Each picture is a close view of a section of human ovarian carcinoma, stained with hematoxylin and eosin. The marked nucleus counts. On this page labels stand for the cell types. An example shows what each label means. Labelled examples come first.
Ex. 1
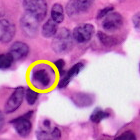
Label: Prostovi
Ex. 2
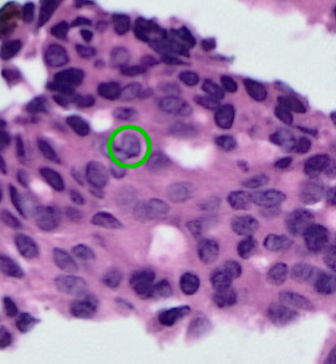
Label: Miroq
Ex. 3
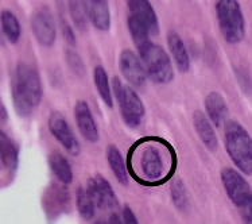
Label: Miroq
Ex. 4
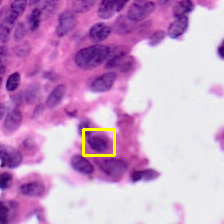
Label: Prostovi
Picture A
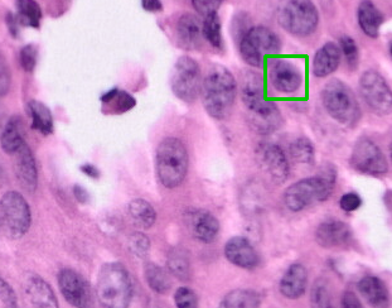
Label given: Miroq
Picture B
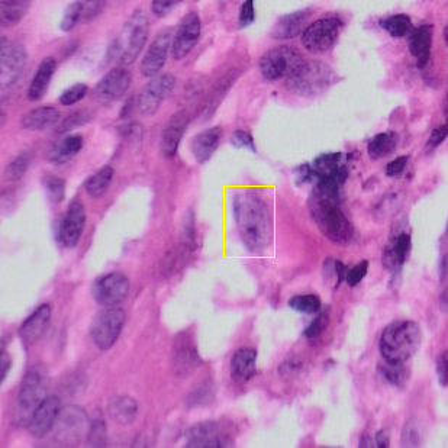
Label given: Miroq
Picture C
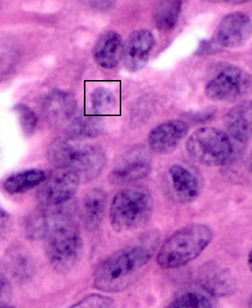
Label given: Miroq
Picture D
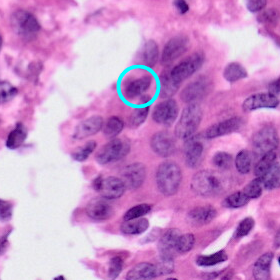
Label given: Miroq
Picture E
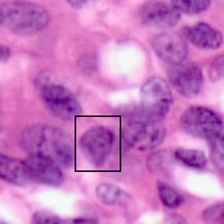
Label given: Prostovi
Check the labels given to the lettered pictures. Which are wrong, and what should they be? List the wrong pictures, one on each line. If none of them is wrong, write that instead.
All labels are correct.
